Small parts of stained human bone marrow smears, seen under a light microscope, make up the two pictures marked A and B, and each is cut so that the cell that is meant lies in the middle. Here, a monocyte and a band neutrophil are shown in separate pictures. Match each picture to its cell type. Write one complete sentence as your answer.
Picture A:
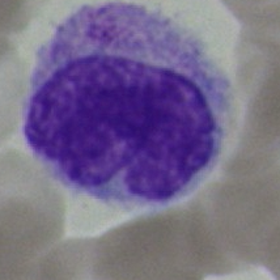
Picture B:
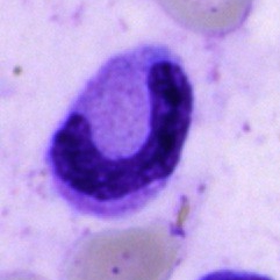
Picture A is of a monocyte, and picture B is of a band neutrophil.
